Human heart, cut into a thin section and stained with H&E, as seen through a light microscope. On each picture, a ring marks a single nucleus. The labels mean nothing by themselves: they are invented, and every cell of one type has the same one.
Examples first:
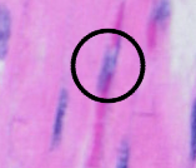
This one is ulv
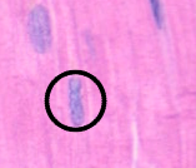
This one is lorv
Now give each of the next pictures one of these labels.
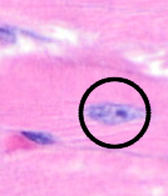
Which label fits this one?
lorv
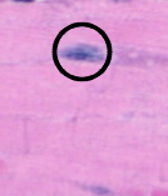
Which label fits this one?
ulv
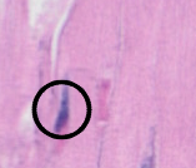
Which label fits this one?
ulv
